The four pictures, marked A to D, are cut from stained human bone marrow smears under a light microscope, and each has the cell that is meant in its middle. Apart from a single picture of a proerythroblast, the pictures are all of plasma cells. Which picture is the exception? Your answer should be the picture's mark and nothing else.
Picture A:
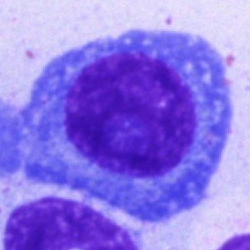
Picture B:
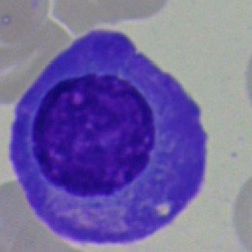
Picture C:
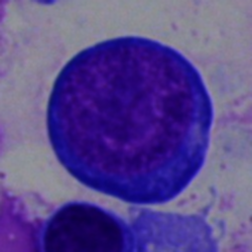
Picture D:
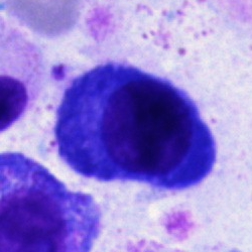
C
